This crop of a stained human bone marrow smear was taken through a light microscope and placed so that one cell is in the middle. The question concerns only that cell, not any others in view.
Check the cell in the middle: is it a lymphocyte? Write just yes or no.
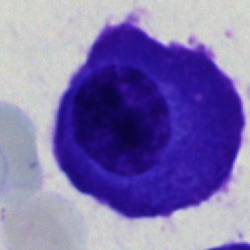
no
